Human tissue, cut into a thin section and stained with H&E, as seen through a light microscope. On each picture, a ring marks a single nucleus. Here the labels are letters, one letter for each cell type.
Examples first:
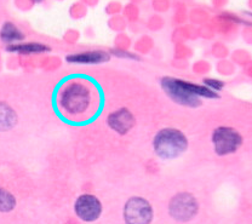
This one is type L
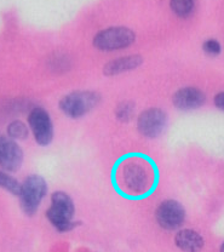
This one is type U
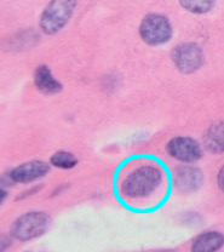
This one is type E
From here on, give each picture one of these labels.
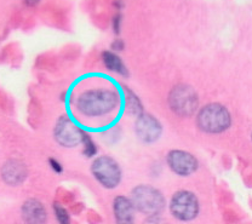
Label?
type E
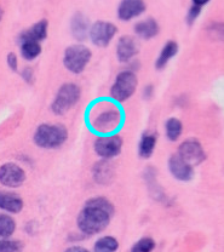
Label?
type E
